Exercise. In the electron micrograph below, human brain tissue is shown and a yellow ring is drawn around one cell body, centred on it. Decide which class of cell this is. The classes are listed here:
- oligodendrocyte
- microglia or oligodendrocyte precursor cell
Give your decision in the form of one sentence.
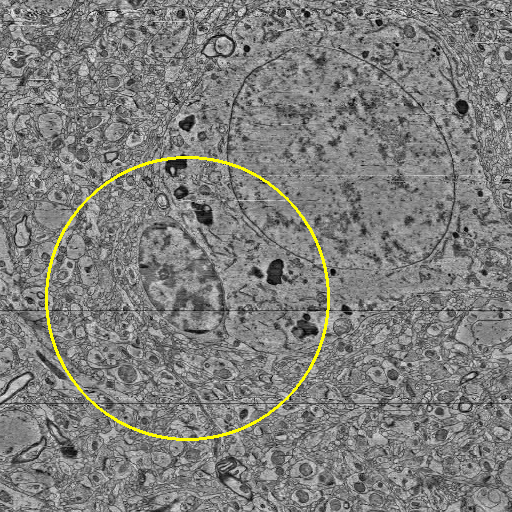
The cell body marked by the ring belongs to an oligodendrocyte.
